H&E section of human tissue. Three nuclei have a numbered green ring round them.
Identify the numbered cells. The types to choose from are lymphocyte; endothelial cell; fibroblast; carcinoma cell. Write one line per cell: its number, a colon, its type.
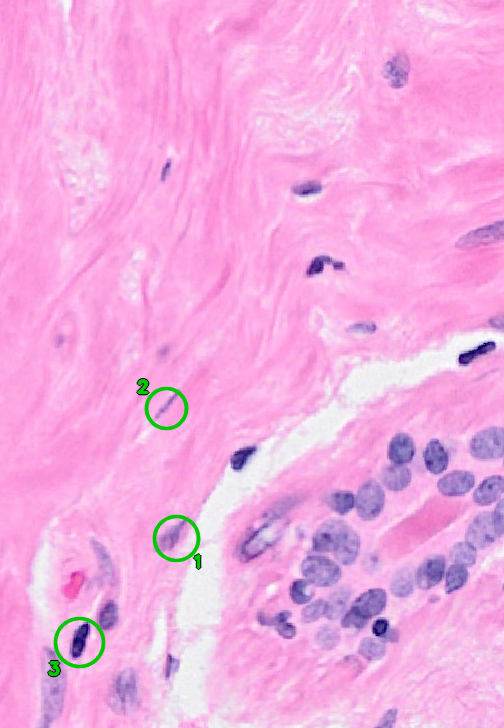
1: fibroblast
2: fibroblast
3: lymphocyte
